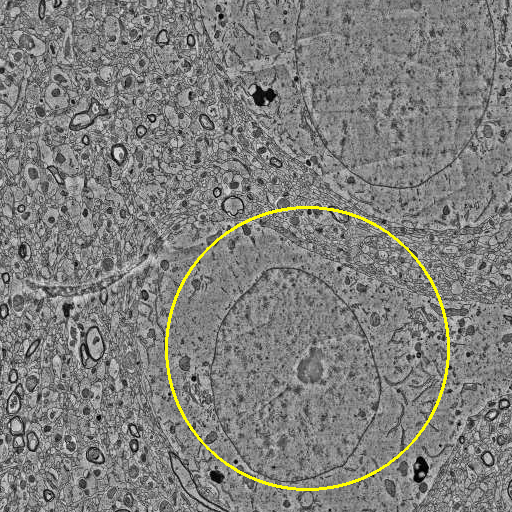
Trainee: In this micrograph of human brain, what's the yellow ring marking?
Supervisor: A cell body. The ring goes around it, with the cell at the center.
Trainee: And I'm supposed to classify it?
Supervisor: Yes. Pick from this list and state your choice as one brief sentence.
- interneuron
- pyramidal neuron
The cell at the ring's center is a pyramidal neuron.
